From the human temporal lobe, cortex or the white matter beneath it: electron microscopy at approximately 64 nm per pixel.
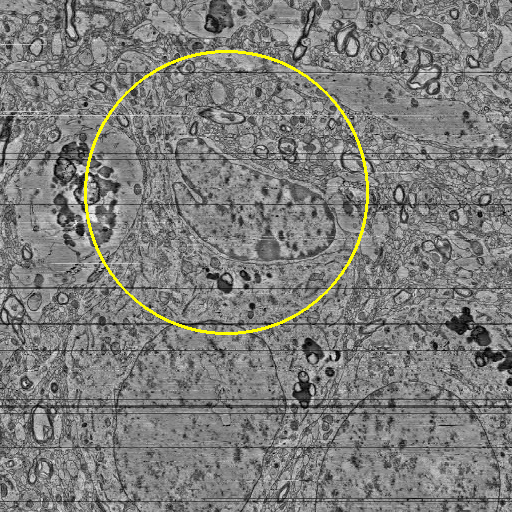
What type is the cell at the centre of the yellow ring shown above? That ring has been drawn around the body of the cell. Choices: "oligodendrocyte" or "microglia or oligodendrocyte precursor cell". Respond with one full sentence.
My answer is that a microglial cell or oligodendrocyte precursor cell lies at the centre of the yellow ring above.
